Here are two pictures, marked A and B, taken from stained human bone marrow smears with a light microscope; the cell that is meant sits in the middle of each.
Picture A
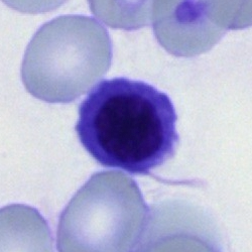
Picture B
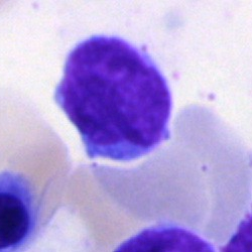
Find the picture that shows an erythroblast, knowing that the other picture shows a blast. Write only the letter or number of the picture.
A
